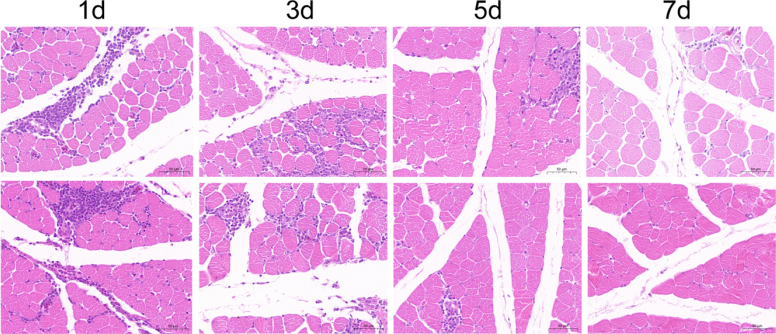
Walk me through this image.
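These are cross-sections of skeletal muscle stained pink and purple. The fibers appear as closely packed, pink, polygonal profiles of varying size. Their few dark purple nuclei sit at the fiber margins. The fibers are gathered into bundles, and pale, nearly white connective-tissue septa run between the bundles. In several fields, dense clusters of small, round, dark purple nuclei fill the spaces between fibers. Smaller, rounded fibers lie among these clusters, which points to damaged and repairing muscle. In other fields, the fibers are larger and more uniform, with fewer cells between them.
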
